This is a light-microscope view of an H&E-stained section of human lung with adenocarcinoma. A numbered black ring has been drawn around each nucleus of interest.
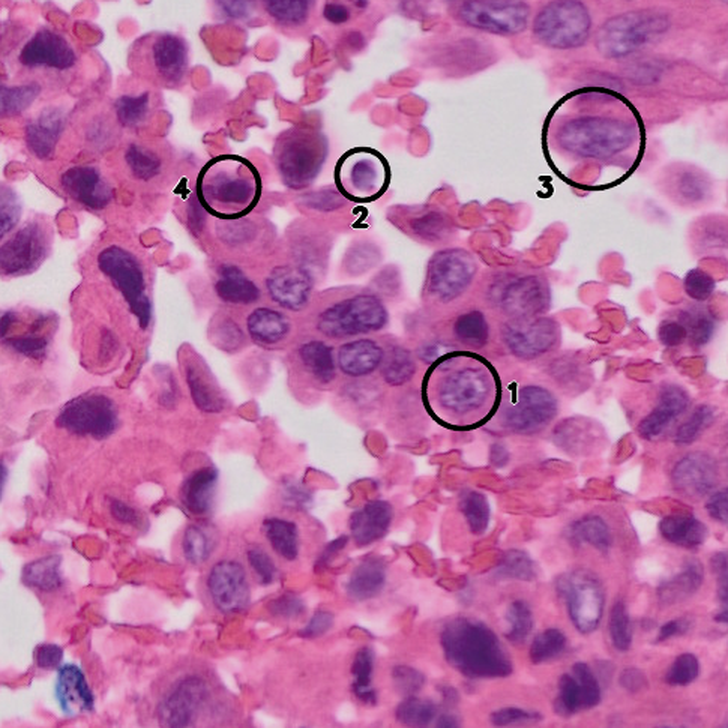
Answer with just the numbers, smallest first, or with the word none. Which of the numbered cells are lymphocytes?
2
